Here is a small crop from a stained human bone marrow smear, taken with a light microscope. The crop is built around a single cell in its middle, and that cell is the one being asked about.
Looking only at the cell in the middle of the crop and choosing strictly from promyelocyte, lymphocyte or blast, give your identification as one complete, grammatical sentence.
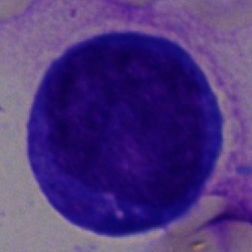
The cell in the exact centre of the crop is a blast.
